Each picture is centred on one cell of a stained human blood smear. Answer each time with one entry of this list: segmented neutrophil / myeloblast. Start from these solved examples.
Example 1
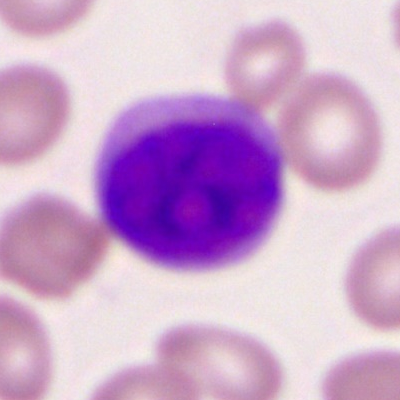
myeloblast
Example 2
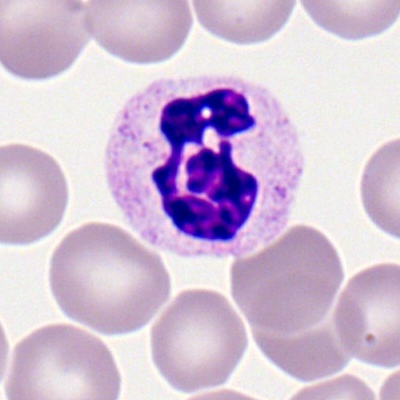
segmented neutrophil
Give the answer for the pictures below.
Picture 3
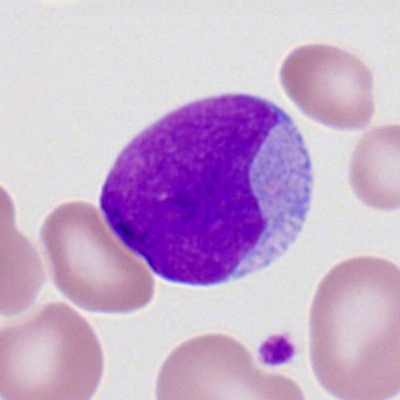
myeloblast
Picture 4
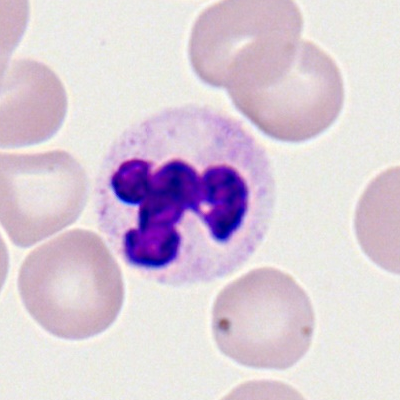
segmented neutrophil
